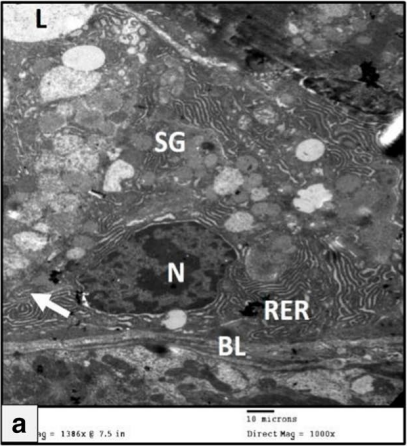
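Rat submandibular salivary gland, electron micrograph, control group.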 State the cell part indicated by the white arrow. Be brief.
mitochondria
